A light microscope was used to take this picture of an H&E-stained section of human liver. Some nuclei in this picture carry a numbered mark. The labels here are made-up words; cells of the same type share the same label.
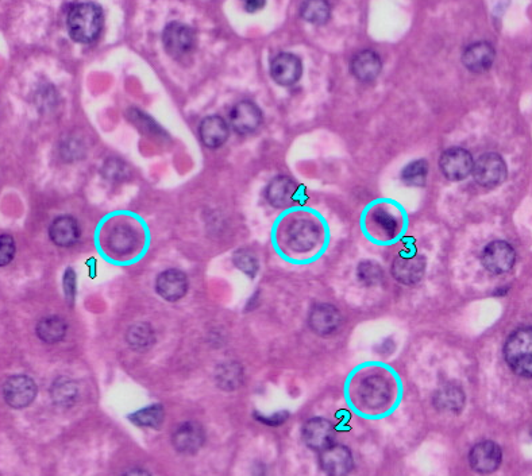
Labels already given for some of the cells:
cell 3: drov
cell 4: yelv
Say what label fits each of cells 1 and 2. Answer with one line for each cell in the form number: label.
1: yelv
2: yelv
